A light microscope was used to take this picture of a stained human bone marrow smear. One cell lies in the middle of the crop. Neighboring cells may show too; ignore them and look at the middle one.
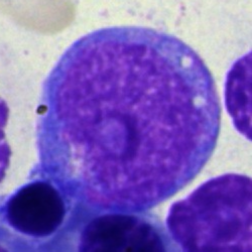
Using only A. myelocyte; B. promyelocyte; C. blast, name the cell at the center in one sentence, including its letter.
The correct option here is C; the middle cell is a blast.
